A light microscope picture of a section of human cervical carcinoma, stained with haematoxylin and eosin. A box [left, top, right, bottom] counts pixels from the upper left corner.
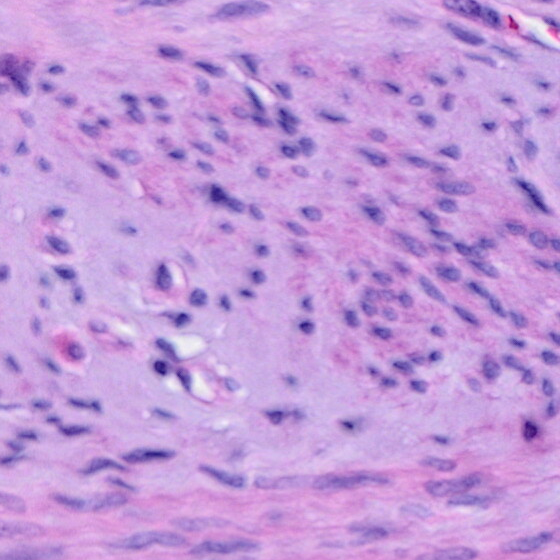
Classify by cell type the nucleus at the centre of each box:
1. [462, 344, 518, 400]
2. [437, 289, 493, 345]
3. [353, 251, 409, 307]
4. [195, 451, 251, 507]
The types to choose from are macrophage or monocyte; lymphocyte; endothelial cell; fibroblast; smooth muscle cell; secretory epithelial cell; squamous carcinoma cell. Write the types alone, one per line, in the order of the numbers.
smooth muscle cell
smooth muscle cell
smooth muscle cell
fibroblast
